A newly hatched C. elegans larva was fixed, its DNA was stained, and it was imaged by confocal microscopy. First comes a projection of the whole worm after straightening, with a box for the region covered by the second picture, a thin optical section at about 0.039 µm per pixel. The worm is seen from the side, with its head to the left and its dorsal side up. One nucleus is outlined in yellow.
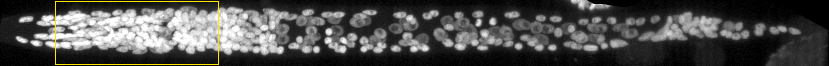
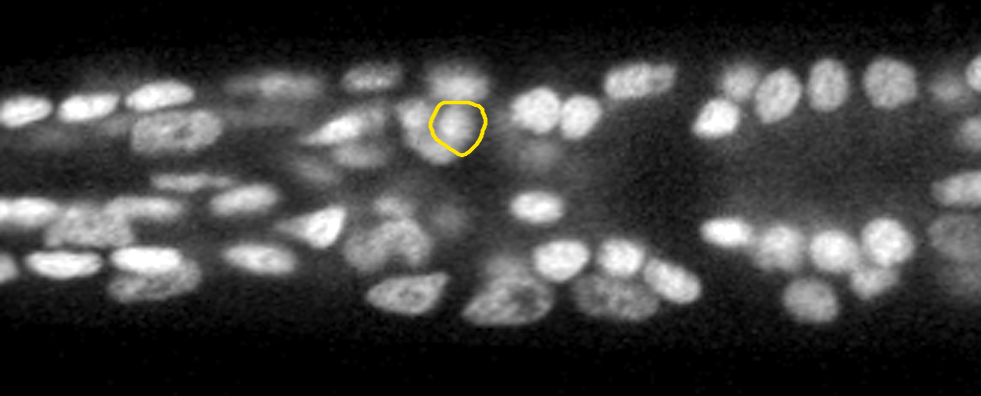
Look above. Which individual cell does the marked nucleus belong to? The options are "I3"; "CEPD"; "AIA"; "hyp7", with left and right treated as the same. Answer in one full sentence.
The nucleus is from I3, a neuron.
